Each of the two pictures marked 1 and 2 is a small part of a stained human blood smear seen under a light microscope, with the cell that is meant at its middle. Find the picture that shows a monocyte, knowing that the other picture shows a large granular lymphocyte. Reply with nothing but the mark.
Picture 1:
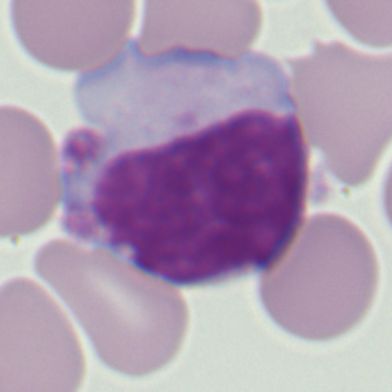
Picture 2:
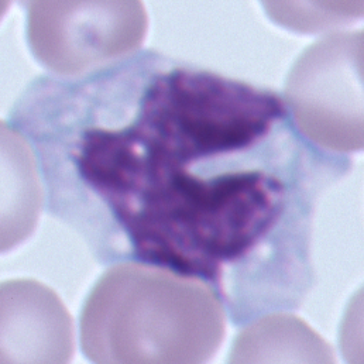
2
